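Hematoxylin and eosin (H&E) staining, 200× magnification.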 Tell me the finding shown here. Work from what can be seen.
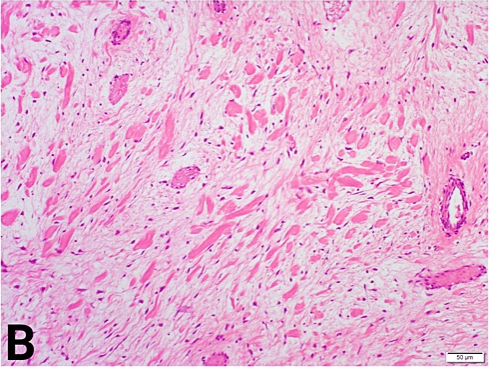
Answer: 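Thick, glassy, bright pink collagen bundles are cut in various directions. The bundles lie in a paler, loose pink background. Sparse spindle nuclei lie between the bundles.
Hyalinized, keloidal-type distribution of collagen fibers.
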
